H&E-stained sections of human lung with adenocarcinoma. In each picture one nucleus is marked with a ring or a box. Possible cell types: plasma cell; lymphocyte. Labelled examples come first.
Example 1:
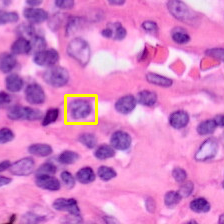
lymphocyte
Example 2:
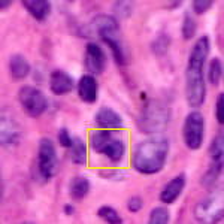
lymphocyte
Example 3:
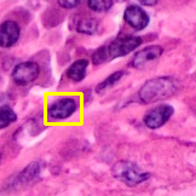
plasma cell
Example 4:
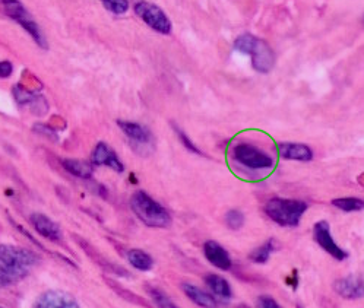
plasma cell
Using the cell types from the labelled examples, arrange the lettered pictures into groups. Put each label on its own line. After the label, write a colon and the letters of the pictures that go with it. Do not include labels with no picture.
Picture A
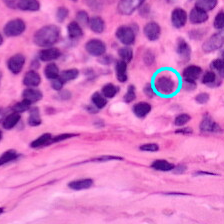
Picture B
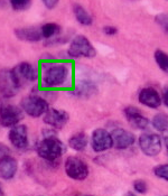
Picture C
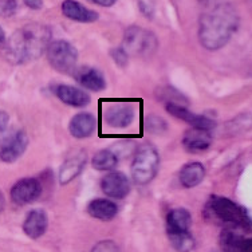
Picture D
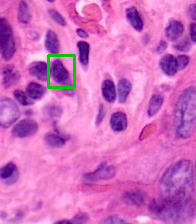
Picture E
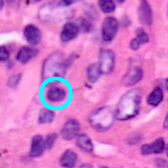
lymphocyte: A, B, C, D, E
